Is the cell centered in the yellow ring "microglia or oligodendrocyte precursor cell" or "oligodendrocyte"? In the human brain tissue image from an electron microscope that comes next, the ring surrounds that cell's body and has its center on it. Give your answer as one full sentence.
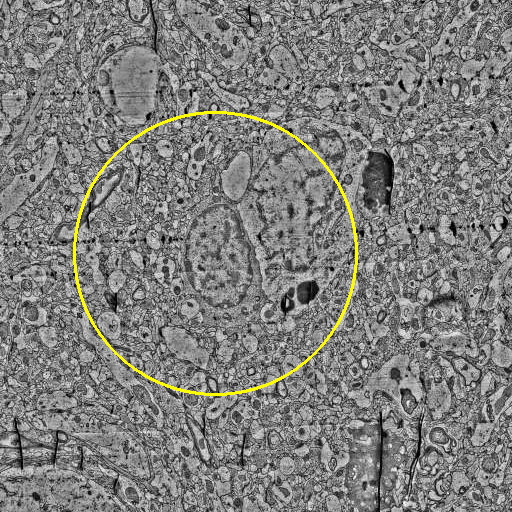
The cell at the center of the yellow ring is an oligodendrocyte in the micrograph.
